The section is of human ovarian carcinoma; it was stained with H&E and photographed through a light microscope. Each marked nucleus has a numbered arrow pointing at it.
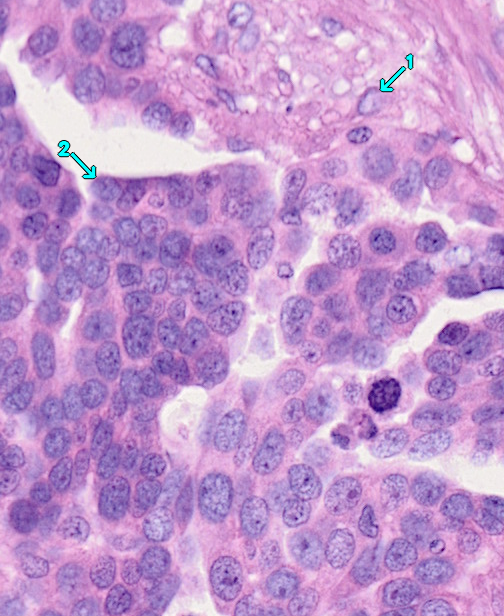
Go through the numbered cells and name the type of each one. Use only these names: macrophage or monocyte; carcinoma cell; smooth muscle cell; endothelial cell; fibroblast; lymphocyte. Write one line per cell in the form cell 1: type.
cell 1: fibroblast
cell 2: carcinoma cell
